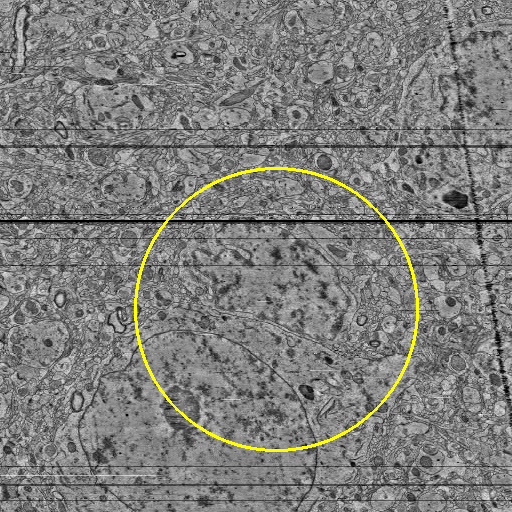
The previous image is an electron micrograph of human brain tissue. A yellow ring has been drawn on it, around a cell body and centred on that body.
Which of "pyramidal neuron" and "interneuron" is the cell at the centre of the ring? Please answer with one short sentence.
The cell body at the centre of the ring belongs to an interneuron.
